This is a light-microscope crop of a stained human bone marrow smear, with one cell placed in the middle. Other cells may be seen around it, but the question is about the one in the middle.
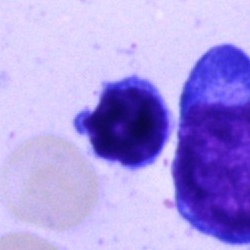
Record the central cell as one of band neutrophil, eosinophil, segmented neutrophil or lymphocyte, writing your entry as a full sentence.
The cell around which this crop is centred is a lymphocyte.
